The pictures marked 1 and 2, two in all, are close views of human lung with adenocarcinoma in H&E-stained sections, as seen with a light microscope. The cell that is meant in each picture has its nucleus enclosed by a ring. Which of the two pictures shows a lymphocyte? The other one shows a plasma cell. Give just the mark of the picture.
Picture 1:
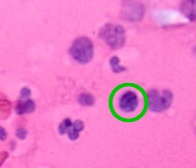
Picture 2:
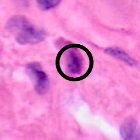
1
